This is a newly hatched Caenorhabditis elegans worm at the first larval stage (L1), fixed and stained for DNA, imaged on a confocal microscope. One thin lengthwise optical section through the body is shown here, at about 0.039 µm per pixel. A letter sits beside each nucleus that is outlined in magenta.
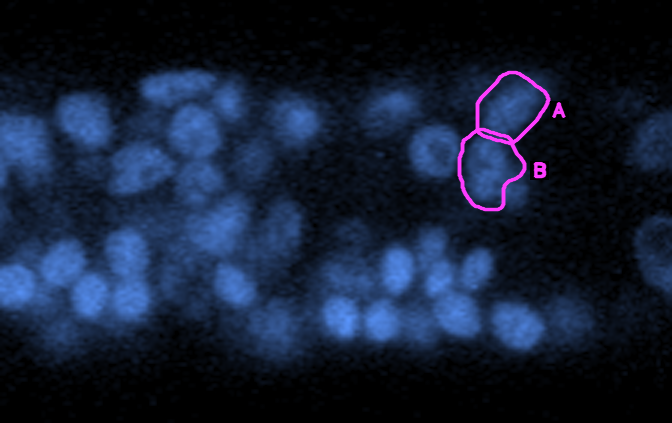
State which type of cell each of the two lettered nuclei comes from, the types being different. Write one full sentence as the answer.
A is the nucleus of a body wall muscle cell; B is the nucleus of a pharyngeal marginal cell.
